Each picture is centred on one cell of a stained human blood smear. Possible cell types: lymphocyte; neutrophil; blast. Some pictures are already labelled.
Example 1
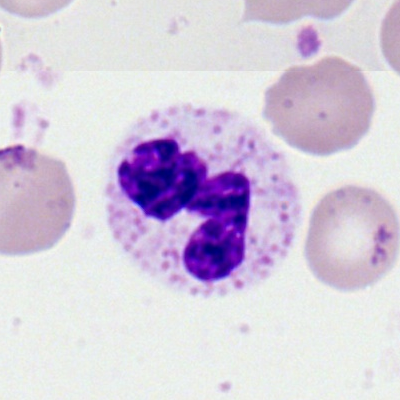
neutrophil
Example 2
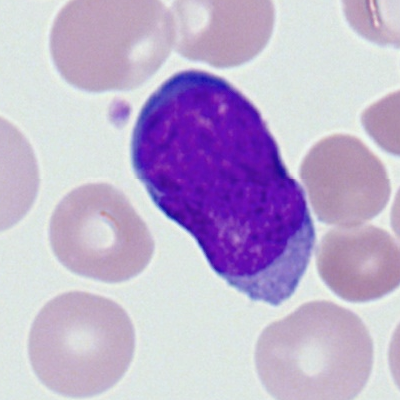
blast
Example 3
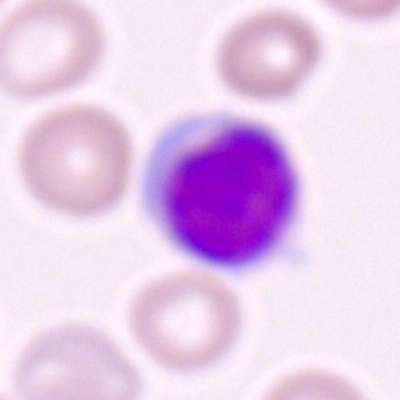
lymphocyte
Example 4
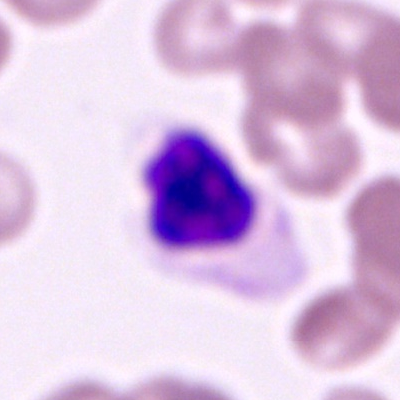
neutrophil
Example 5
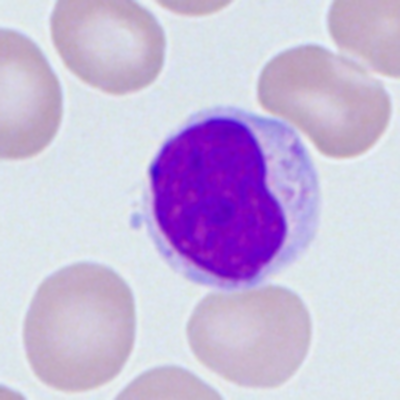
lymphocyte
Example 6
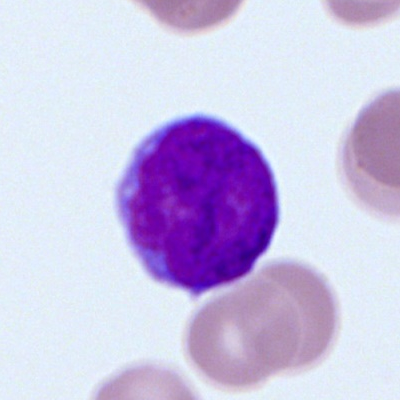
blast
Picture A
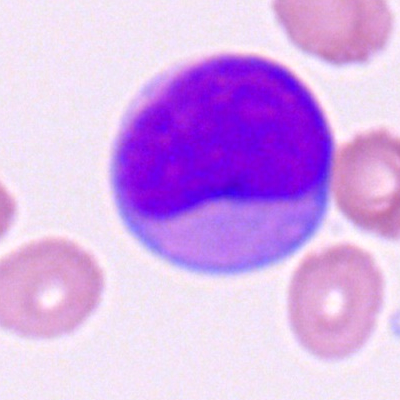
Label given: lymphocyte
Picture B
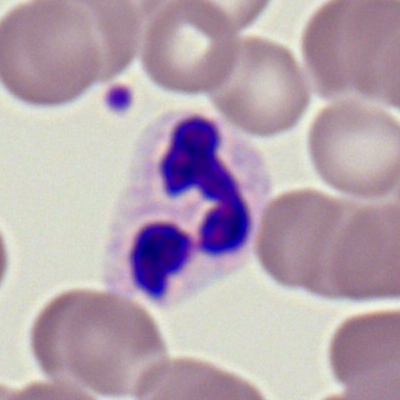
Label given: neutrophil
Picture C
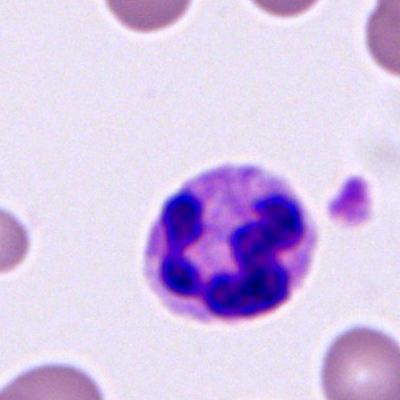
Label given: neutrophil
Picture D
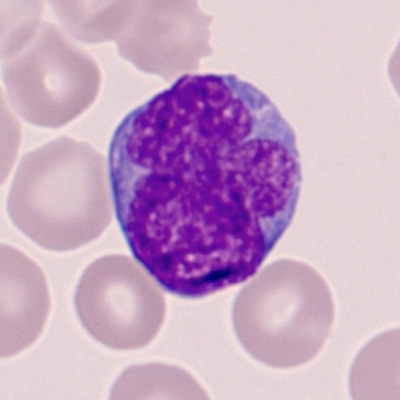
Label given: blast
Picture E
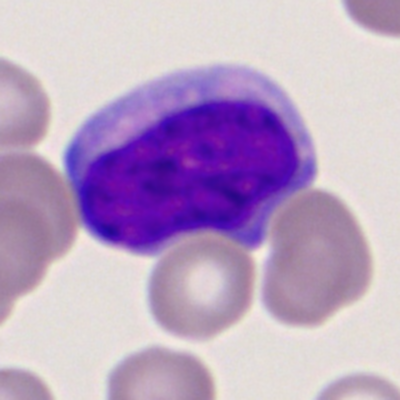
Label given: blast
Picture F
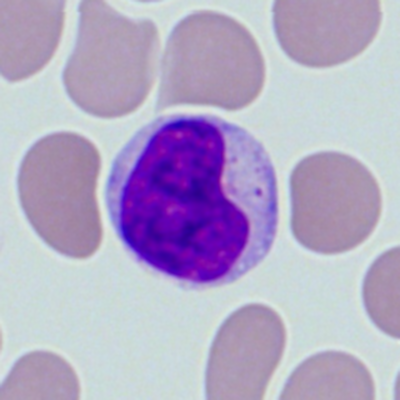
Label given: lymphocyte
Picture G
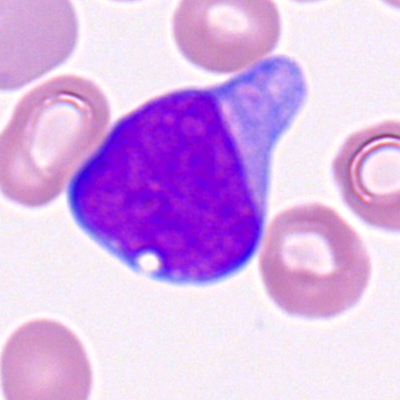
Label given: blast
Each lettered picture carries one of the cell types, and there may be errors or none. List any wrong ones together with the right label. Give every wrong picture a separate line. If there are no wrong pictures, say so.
A is labelled lymphocyte; correct label: blast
